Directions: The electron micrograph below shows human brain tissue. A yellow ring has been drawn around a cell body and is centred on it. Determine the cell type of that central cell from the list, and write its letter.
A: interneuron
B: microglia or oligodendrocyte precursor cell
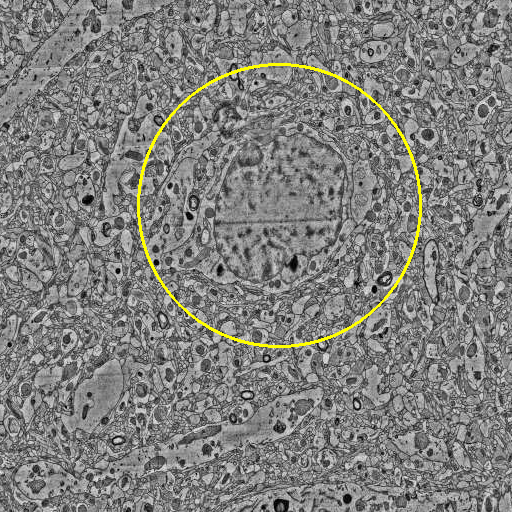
A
